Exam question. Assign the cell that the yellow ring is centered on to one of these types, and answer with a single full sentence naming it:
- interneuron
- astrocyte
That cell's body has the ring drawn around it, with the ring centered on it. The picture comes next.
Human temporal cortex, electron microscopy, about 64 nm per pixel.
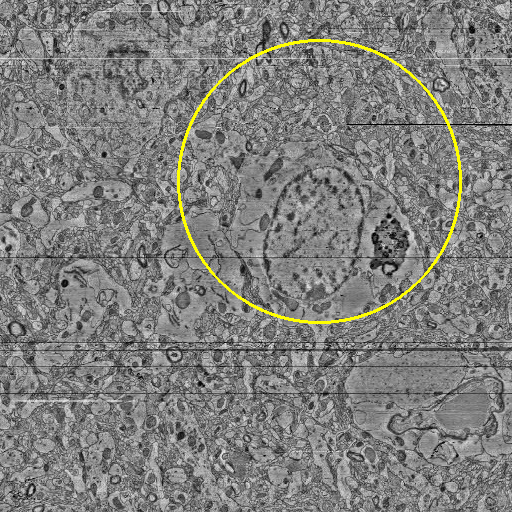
In the micrograph, the cell the yellow ring is centered on is an astrocyte.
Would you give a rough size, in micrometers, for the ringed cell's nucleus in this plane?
About 10 by 6 micrometers, in this plane.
